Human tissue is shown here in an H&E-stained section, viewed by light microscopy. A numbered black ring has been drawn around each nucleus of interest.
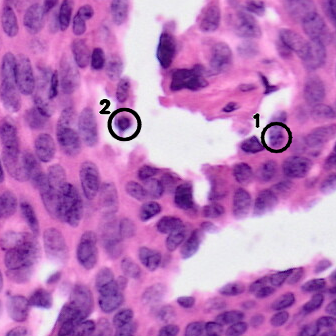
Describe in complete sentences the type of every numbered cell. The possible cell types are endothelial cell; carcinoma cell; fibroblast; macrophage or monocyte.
Cell 1 is a macrophage or monocyte. Cell 2 is a carcinoma cell.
